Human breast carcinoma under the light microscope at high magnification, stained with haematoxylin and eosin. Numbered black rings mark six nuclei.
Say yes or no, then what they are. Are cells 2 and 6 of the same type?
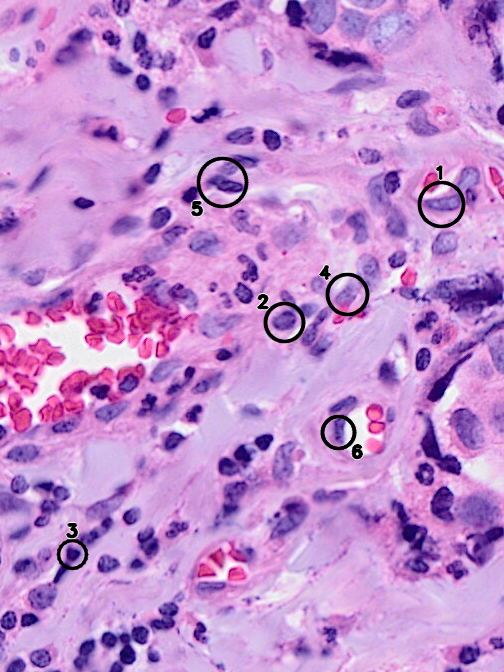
No, cell 2 is a lymphocyte and cell 6 is an endothelial cell.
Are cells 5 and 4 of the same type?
No, cell 5 is a lymphocyte and cell 4 is an endothelial cell.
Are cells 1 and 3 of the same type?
No, cell 1 is an endothelial cell and cell 3 is a lymphocyte.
